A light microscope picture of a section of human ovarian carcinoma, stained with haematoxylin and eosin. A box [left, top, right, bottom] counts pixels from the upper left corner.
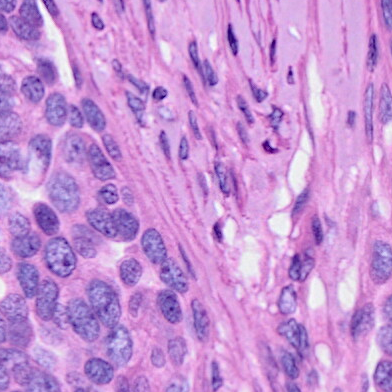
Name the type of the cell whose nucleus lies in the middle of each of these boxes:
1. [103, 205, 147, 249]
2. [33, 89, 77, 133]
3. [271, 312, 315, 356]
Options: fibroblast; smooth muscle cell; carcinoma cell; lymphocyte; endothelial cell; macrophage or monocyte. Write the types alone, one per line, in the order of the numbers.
carcinoma cell
carcinoma cell
endothelial cell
